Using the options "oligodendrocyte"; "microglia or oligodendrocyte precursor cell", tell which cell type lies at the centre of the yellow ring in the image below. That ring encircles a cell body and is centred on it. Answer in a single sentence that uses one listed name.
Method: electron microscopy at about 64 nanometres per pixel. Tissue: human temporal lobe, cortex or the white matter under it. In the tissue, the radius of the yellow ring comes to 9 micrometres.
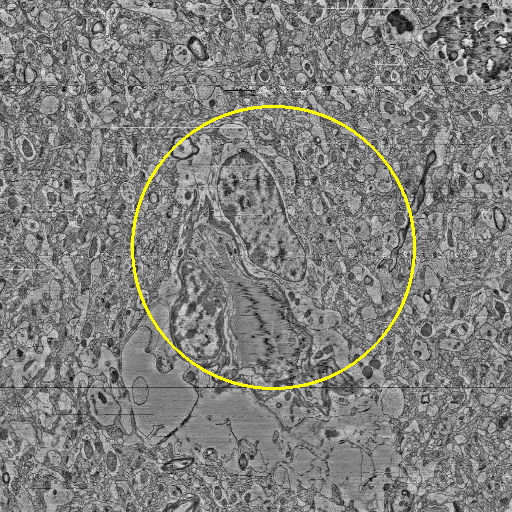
At the centre of the yellow ring lies the body of a microglial cell or oligodendrocyte precursor cell.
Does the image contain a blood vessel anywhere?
Yes, a blood vessel can be seen.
